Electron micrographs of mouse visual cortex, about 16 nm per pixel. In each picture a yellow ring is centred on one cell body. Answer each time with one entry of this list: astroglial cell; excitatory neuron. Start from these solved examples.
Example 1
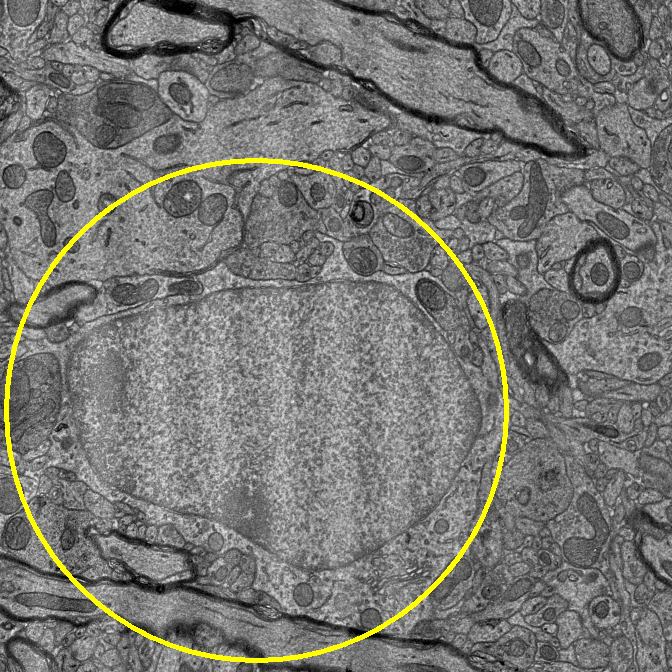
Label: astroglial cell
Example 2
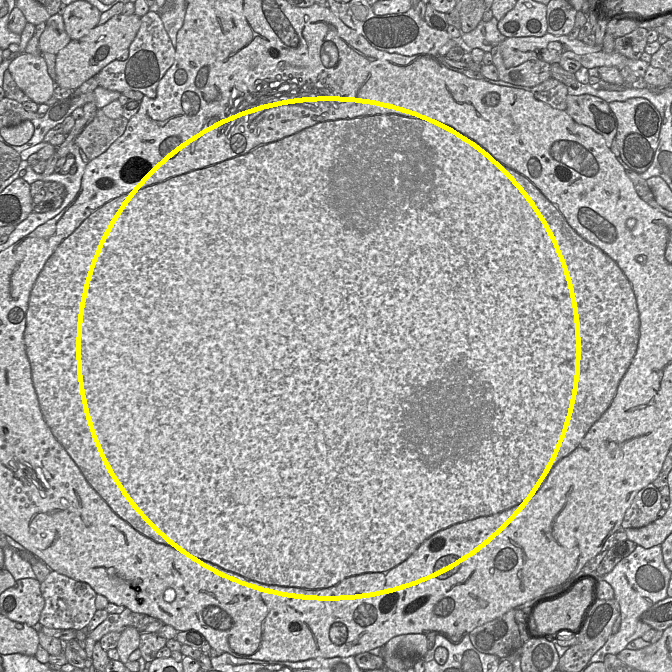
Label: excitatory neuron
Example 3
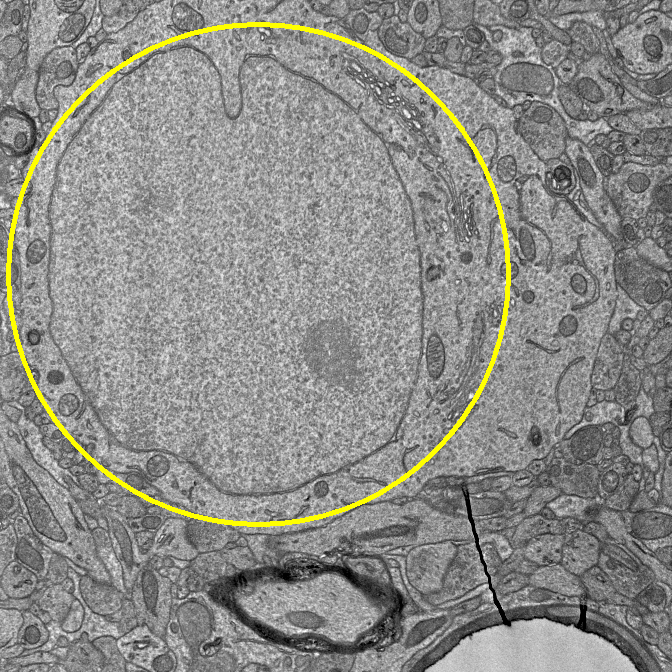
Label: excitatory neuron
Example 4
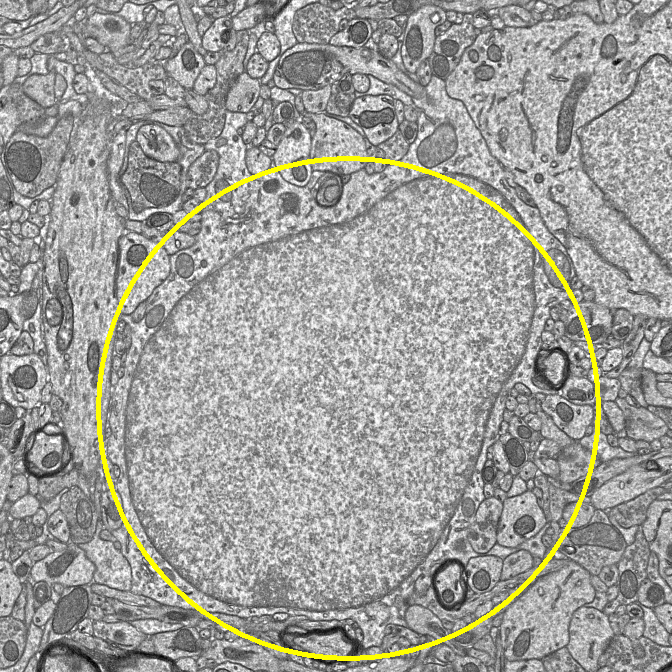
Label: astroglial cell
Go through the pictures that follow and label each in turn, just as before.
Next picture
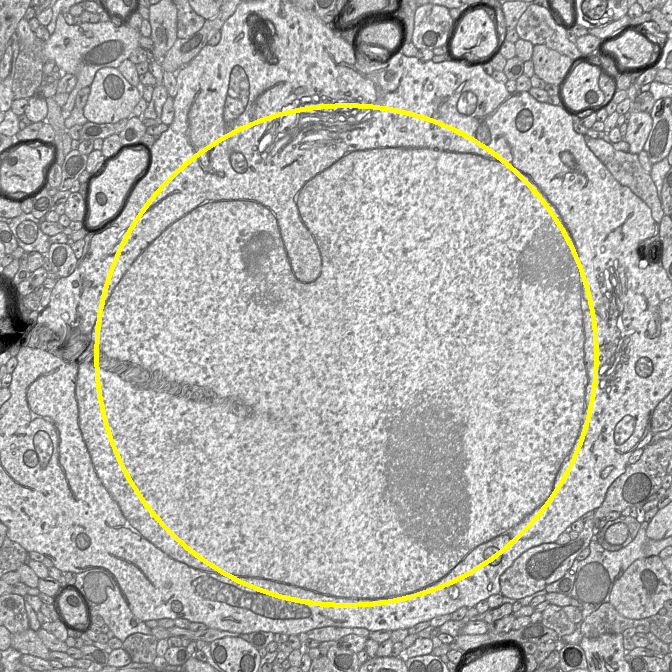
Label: excitatory neuron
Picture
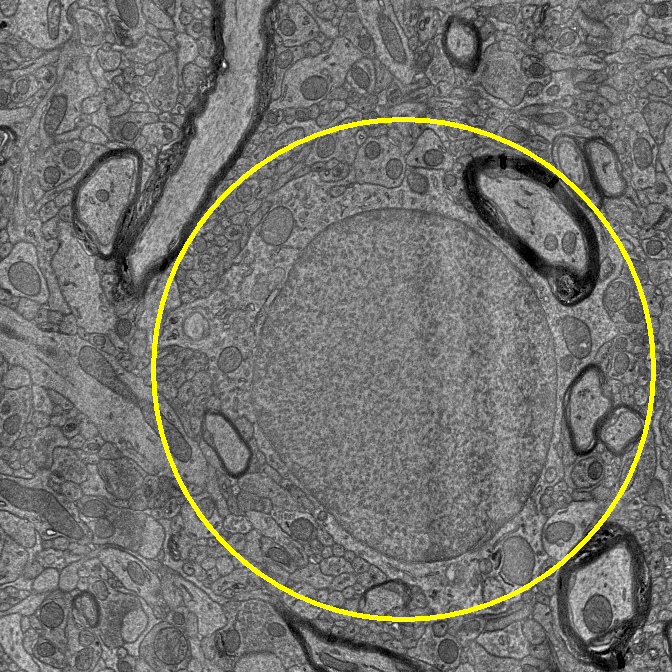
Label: astroglial cell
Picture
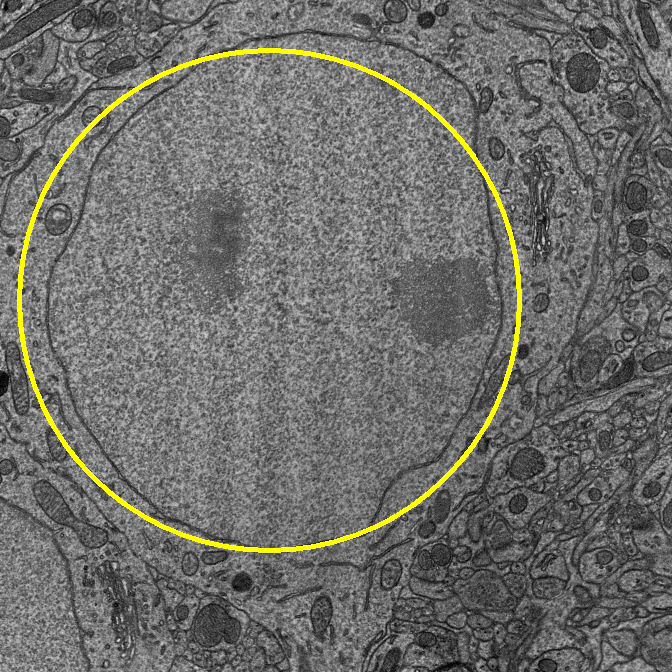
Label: excitatory neuron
